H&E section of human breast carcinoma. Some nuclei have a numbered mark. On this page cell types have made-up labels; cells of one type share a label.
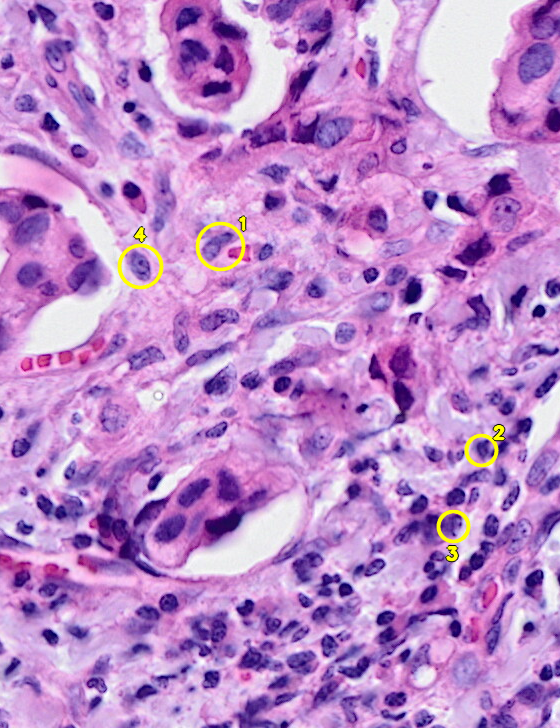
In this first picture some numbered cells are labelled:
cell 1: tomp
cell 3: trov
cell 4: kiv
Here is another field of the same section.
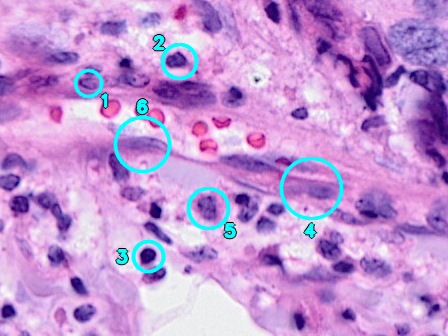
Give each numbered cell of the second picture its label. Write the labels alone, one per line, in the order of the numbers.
tomp
trov
trov
tomp
kiv
tomp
